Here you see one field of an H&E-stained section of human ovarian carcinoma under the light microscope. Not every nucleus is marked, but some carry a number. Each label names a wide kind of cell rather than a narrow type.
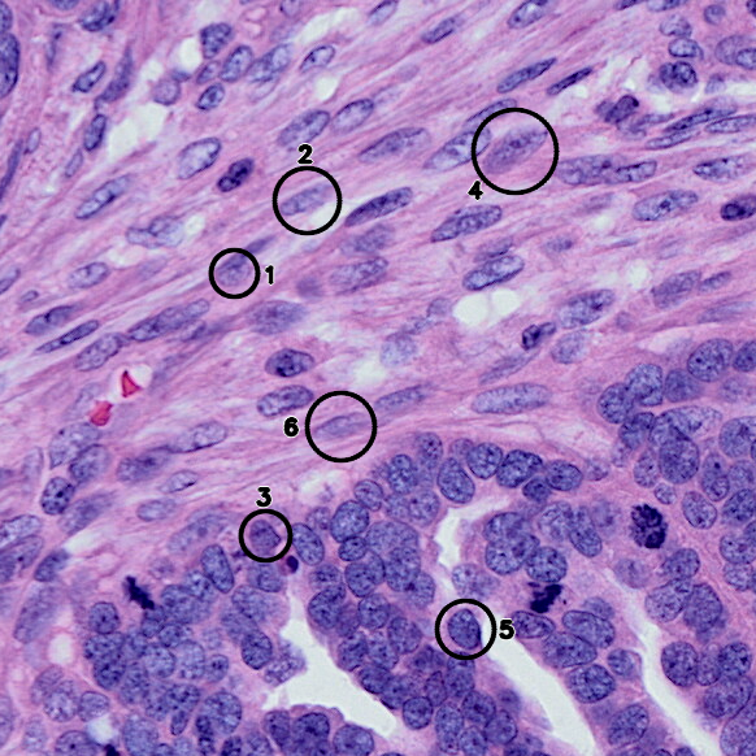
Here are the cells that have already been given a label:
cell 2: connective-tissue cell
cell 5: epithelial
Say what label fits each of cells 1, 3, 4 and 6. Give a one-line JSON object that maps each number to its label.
{"1": "connective-tissue cell", "3": "epithelial", "4": "connective-tissue cell", "6": "connective-tissue cell"}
